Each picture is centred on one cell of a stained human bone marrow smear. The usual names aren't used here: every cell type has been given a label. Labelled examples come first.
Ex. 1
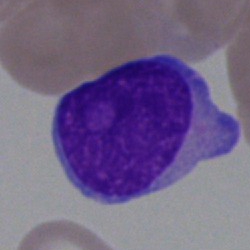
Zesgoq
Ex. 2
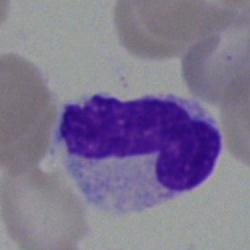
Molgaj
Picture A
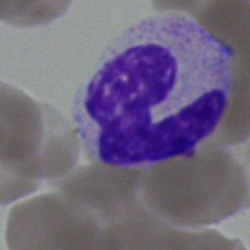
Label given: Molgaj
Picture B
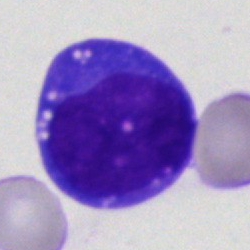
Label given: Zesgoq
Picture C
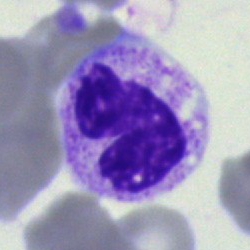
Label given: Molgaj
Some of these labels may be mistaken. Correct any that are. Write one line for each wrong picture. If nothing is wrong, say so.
All correct.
